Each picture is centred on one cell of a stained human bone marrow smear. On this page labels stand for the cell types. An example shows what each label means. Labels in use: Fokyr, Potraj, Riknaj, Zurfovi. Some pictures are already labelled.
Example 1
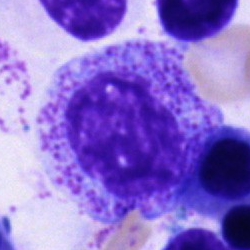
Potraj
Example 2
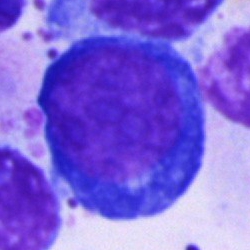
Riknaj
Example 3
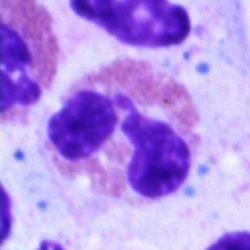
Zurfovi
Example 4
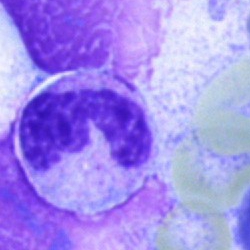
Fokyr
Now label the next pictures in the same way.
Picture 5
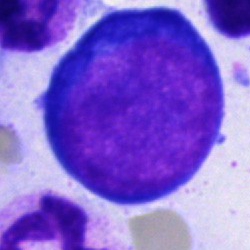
Riknaj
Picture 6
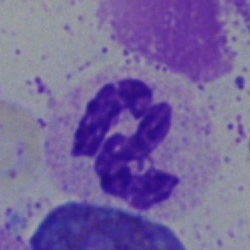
Fokyr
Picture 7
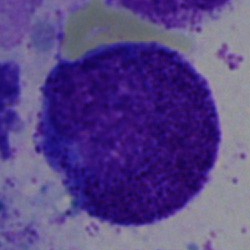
Potraj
